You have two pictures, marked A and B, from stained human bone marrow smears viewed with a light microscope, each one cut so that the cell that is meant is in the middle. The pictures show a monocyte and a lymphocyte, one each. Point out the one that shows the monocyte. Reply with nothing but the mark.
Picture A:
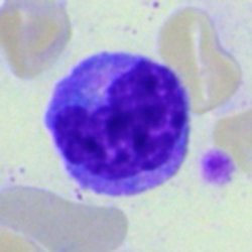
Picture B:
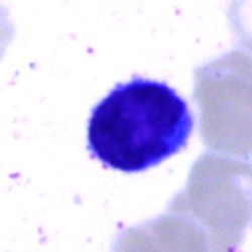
A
